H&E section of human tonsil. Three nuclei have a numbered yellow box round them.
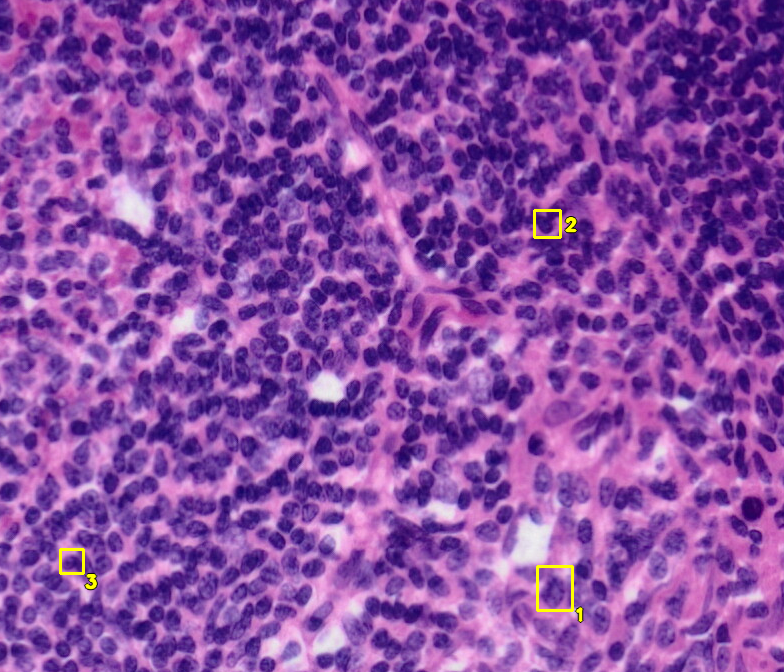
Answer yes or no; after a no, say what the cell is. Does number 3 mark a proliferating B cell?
No, it is a small lymphocyte.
